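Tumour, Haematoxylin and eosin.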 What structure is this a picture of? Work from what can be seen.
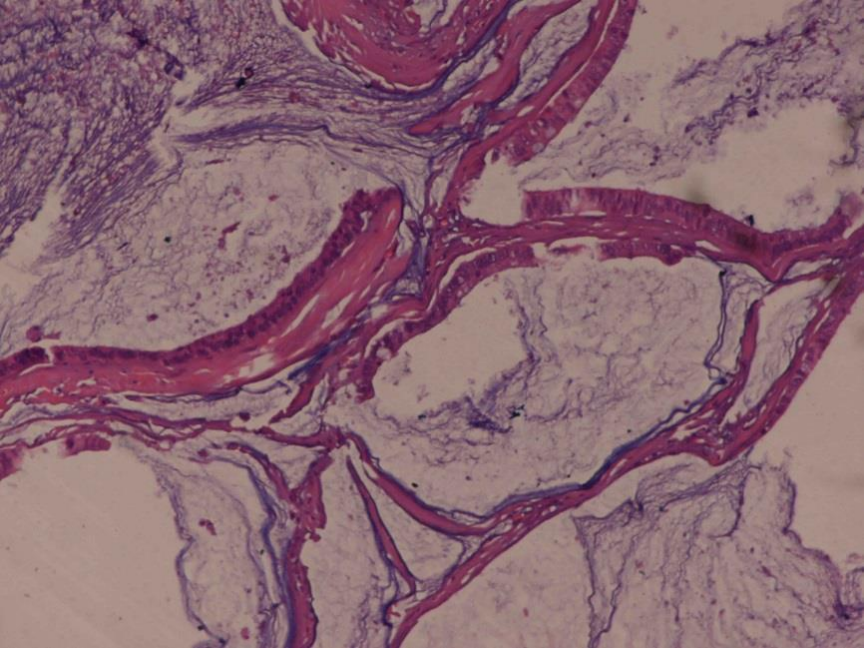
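Lakes of mucin. Large spaces are filled with pale, wispy, bluish-grey material. This material lies between and around the epithelial strands.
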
